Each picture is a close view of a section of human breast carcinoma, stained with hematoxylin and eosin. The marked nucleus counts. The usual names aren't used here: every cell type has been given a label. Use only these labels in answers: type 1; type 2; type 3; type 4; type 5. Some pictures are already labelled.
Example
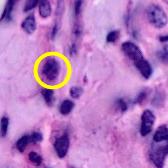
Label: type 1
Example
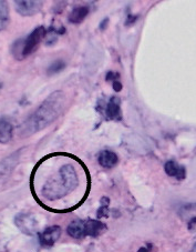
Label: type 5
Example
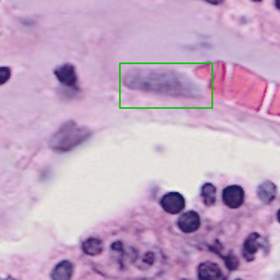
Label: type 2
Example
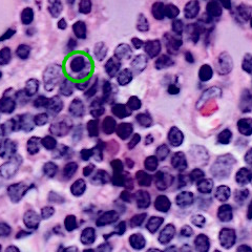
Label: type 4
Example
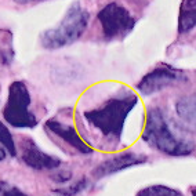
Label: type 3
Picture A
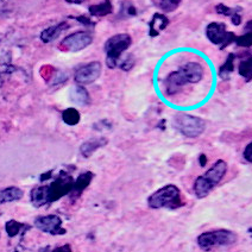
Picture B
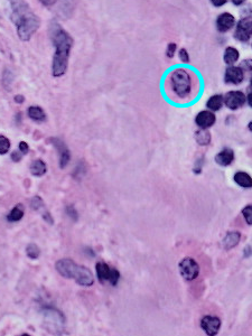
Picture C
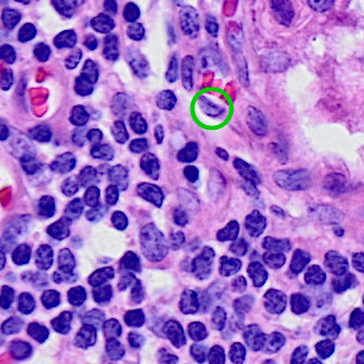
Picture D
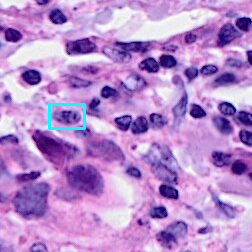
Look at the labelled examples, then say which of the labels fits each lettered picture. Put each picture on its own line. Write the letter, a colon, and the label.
A: type 5
B: type 1
C: type 2
D: type 1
